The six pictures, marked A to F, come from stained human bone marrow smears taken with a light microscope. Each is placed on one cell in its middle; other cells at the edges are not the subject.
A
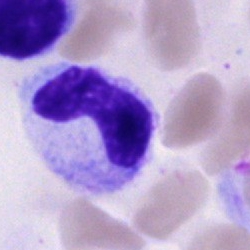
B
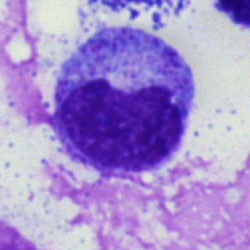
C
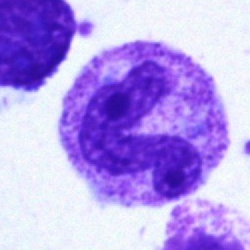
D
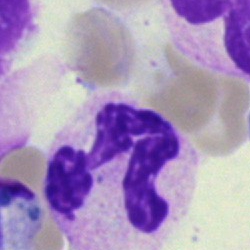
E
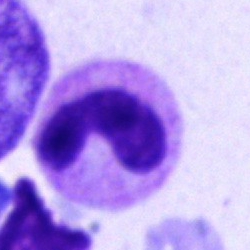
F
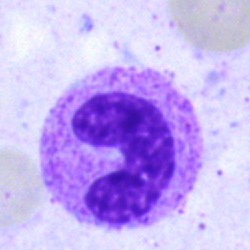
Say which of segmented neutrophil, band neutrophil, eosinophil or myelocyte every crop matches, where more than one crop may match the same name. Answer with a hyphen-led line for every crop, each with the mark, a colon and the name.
- A: band neutrophil
- B: myelocyte
- C: segmented neutrophil
- D: segmented neutrophil
- E: band neutrophil
- F: band neutrophil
